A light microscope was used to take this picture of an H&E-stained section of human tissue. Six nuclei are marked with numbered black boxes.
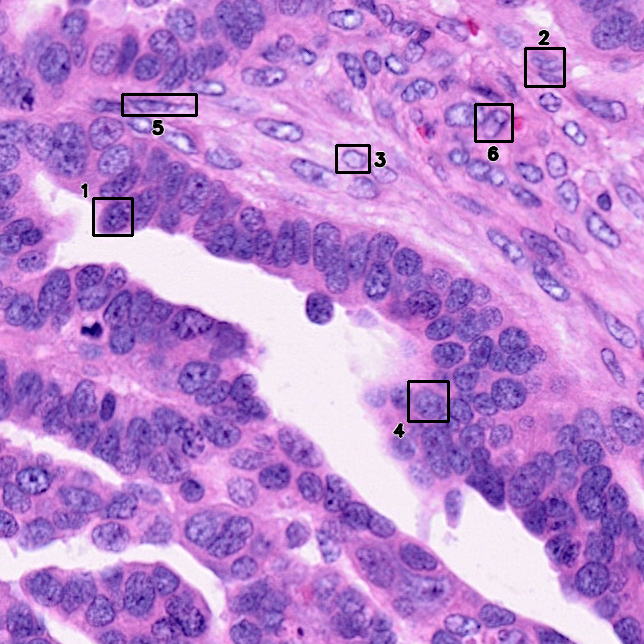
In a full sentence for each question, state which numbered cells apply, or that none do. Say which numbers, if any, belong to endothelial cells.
There is just one numbered cell that is an endothelial cell, and it is cell 6.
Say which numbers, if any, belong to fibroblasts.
Cells 2, 3 and 5 share one type; they are fibroblasts.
